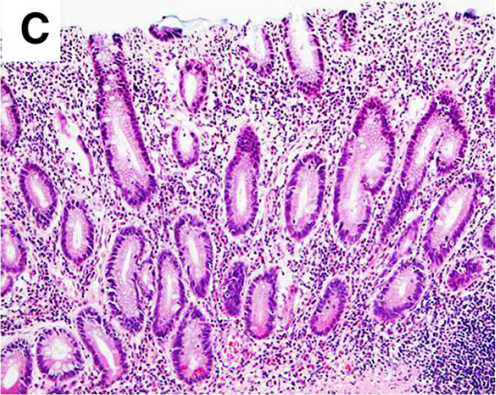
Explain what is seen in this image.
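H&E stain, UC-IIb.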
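Here the mucosa is crowded with crypts, cut mostly across in the deeper half and along their length near the surface. In the deeper crypts the epithelial nuclei are dark and enlarged, and some lie slightly stacked, while pale goblet cells are still present in many crypts. The stroma between the crypts is dense with small round inflammatory cells, heaviest towards the lower right.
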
